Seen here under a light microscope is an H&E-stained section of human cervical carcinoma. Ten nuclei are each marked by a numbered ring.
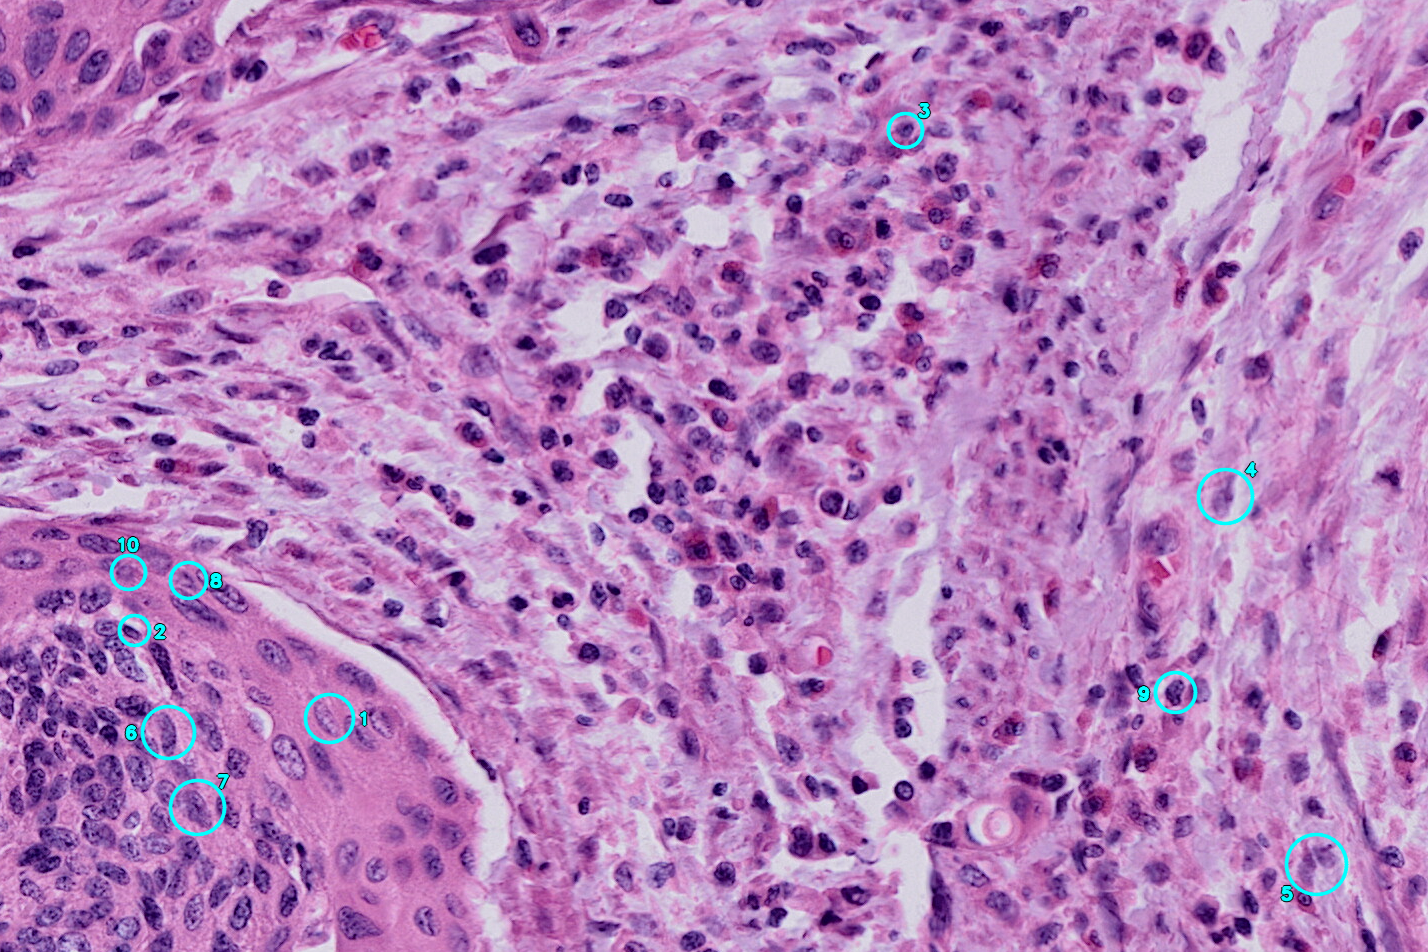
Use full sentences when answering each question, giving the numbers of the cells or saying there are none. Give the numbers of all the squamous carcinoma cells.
The cells with the number labels 1, 2, 6, 7, 8 and 10 are squamous carcinoma cells.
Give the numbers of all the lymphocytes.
Regarding the numbered cells 3 and 9, these are lymphocytes.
